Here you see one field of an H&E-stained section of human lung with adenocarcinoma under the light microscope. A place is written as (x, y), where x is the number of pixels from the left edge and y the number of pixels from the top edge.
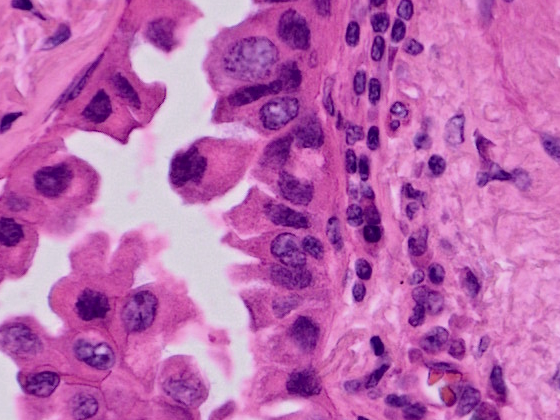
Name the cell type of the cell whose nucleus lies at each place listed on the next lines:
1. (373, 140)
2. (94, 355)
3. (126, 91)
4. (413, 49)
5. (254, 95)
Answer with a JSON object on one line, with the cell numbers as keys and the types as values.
{"1": "lymphocyte", "2": "carcinoma cell", "3": "carcinoma cell", "4": "lymphocyte", "5": "carcinoma cell"}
